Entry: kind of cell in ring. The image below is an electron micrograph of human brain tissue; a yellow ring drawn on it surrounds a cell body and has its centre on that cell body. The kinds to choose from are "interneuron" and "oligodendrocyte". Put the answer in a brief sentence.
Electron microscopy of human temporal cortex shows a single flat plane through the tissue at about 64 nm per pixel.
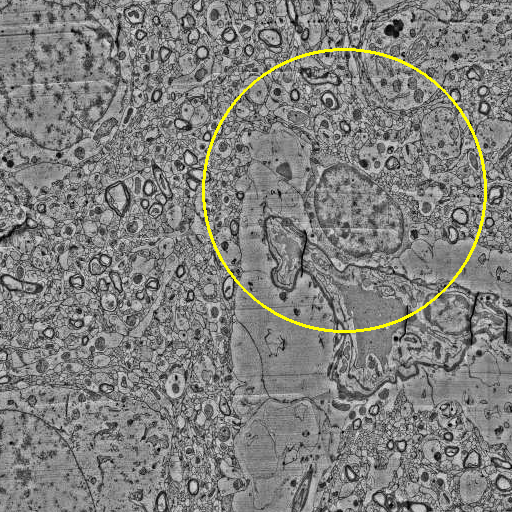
The ring has been drawn around an oligodendrocyte.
